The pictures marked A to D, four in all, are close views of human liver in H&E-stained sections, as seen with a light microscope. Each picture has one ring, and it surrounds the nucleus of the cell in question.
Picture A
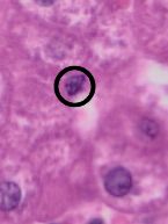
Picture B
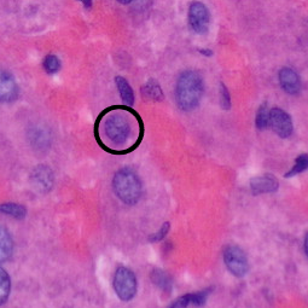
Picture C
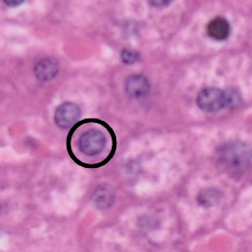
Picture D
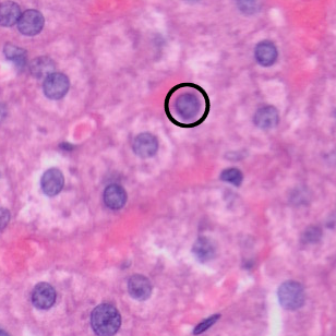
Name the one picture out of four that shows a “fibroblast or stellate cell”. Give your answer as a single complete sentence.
Picture A is the one that shows the “fibroblast or stellate cell”.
